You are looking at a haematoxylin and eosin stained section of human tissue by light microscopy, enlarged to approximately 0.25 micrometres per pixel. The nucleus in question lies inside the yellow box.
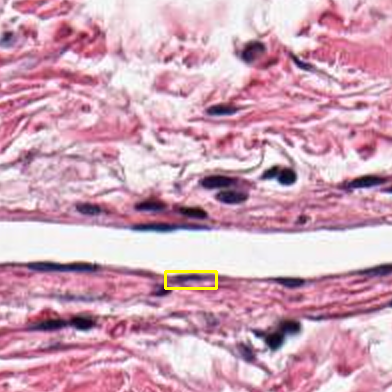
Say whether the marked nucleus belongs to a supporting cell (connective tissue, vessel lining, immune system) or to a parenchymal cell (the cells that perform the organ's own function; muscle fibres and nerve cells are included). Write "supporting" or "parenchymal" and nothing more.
supporting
